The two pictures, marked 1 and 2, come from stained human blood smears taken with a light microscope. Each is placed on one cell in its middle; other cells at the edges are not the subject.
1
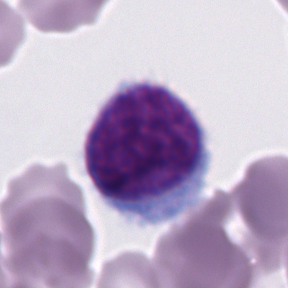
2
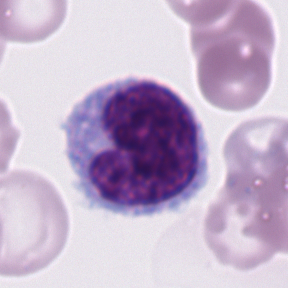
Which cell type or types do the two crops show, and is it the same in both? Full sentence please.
No, the central cell of crop 1 is a hairy cell; that of crop 2 is a monocyte.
